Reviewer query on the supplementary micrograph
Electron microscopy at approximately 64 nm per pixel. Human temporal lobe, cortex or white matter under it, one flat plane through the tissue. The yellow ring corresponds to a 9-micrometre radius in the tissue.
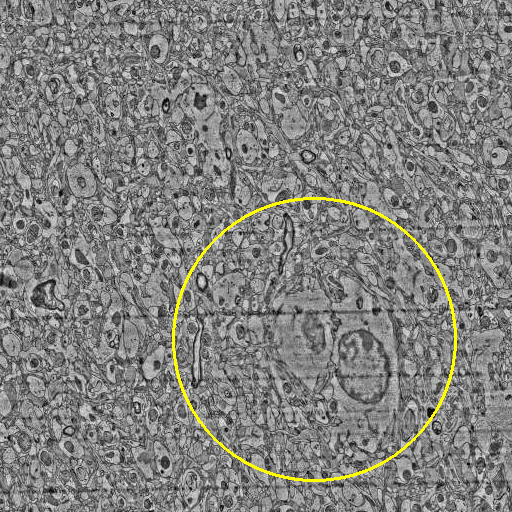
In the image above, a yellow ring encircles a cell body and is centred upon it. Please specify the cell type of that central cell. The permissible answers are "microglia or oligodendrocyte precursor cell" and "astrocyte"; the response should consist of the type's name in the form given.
astrocyte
